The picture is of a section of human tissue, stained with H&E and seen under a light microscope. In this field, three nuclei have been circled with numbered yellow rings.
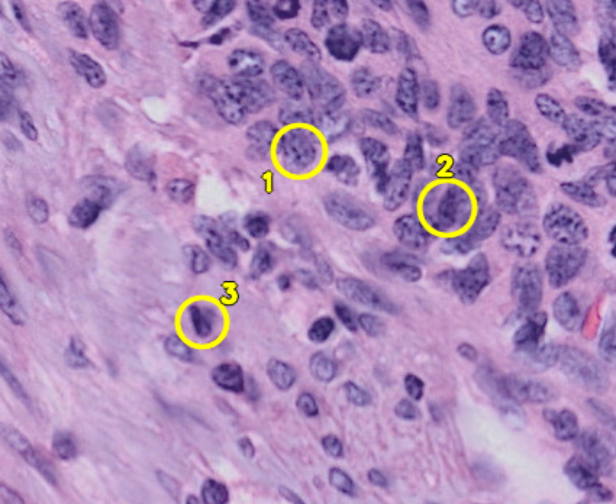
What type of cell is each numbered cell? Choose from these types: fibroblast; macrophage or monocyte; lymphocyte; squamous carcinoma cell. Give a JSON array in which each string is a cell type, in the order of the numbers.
["squamous carcinoma cell", "squamous carcinoma cell", "lymphocyte"]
